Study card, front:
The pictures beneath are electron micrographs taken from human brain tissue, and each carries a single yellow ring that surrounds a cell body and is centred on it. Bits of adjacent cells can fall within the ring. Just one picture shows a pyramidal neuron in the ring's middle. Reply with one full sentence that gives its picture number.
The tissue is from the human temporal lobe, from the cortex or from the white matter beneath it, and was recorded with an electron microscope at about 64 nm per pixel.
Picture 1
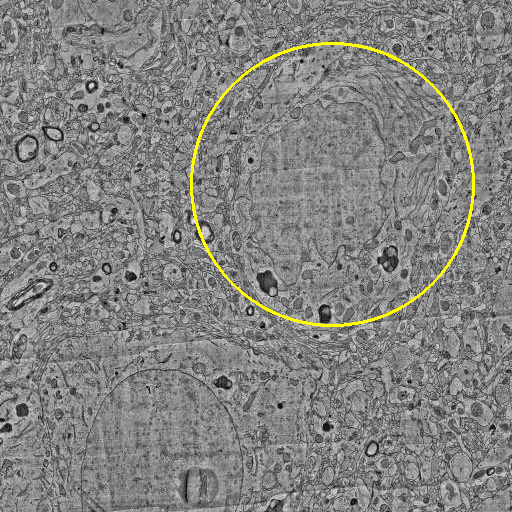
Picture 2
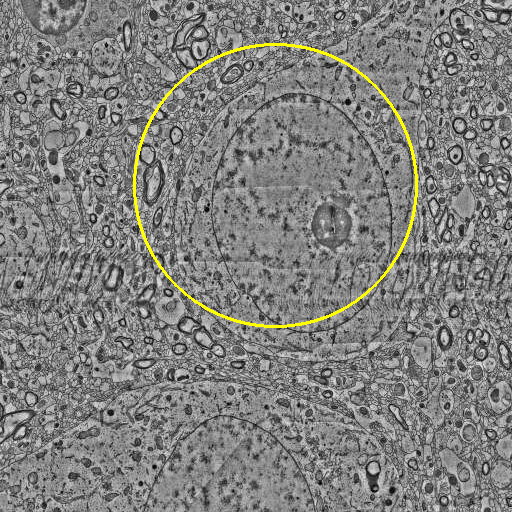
Picture 2 is the one whose ring has the requested cell at its centre.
